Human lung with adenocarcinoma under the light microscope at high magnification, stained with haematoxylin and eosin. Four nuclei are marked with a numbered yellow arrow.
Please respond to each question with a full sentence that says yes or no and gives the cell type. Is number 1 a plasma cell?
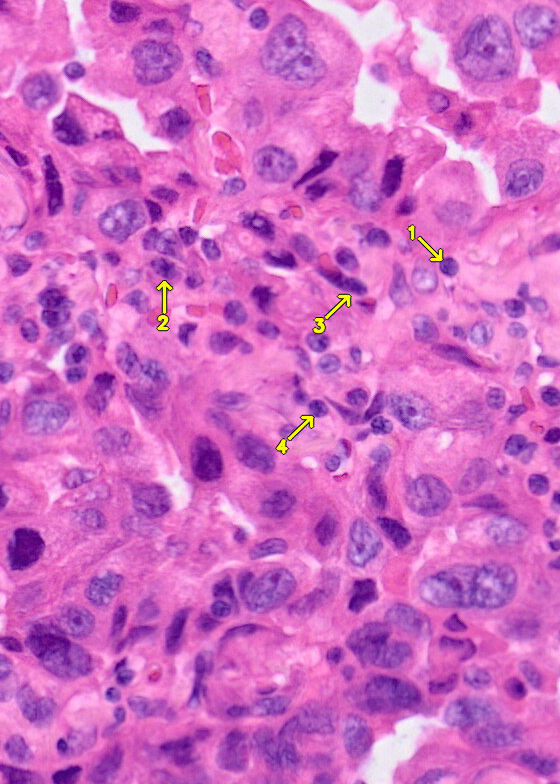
No, cell 1 is a lymphocyte and should not be called a plasma cell.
